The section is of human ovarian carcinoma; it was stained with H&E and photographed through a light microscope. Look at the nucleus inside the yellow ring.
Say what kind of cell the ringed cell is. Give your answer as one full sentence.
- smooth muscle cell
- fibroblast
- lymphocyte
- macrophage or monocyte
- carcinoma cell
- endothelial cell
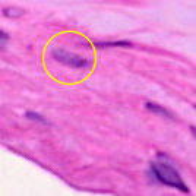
By its classification, the ringed cell is a smooth muscle cell.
